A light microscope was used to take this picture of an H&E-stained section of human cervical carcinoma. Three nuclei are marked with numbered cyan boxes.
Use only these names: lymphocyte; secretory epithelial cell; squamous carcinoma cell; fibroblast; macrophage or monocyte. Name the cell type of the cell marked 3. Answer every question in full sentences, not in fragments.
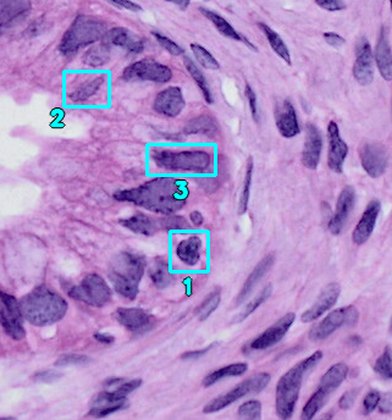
The cell tagged with 3 in this tissue section is a secretory epithelial cell.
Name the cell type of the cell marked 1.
Belonging to a lymphocyte is the nucleus that carries the number 1.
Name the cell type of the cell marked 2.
Cell 2, as marked in the section, is a secretory epithelial cell.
